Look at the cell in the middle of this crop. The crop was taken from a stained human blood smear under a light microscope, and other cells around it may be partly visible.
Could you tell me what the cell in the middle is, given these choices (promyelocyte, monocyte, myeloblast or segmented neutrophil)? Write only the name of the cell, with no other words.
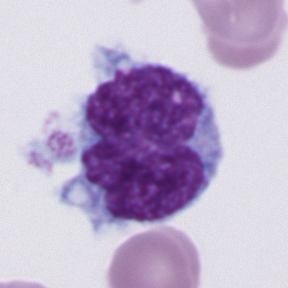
monocyte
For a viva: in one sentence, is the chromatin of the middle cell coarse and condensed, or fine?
You can see that its chromatin is coarsely clumped.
